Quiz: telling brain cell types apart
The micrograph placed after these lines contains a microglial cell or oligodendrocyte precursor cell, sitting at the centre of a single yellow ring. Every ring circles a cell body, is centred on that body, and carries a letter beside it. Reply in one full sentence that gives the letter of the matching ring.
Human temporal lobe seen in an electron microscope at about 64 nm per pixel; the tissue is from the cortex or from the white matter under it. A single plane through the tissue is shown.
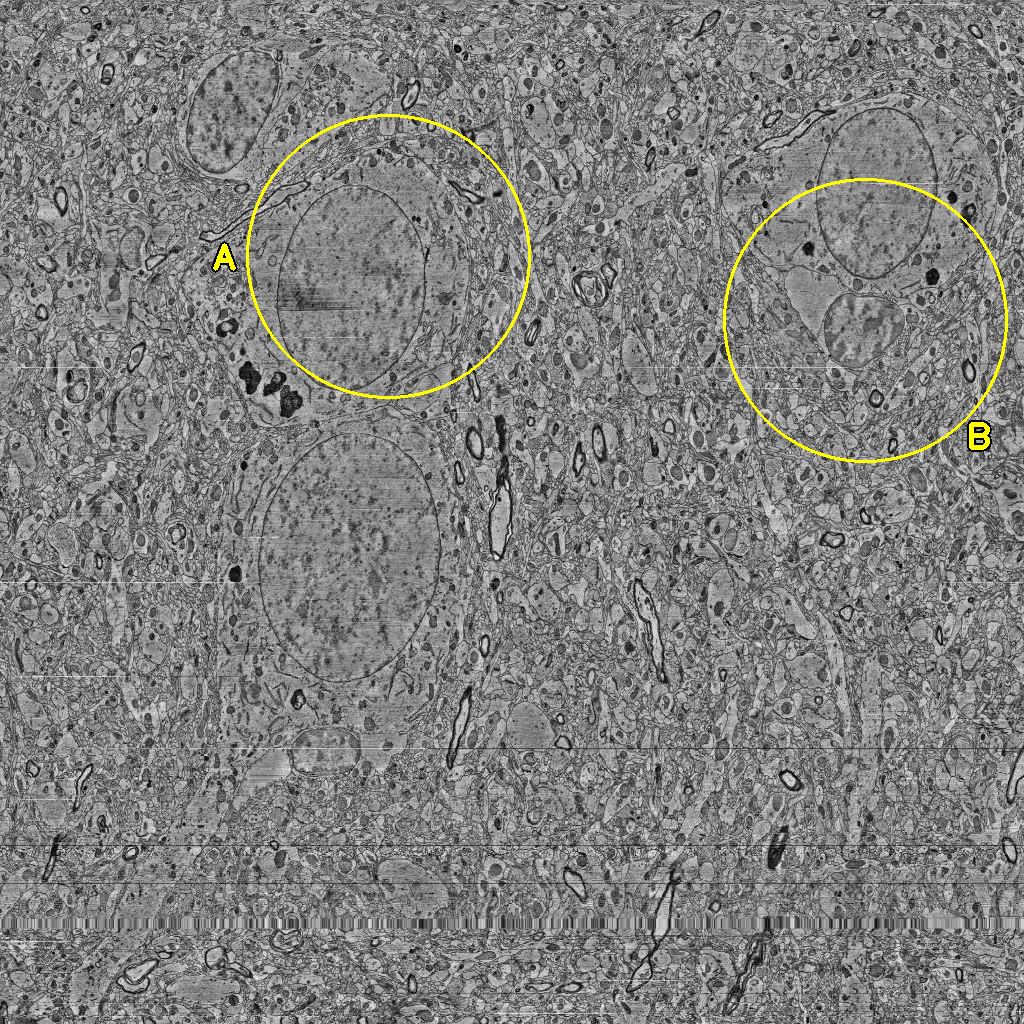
The cell asked for lies at the centre of ring B in the picture.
